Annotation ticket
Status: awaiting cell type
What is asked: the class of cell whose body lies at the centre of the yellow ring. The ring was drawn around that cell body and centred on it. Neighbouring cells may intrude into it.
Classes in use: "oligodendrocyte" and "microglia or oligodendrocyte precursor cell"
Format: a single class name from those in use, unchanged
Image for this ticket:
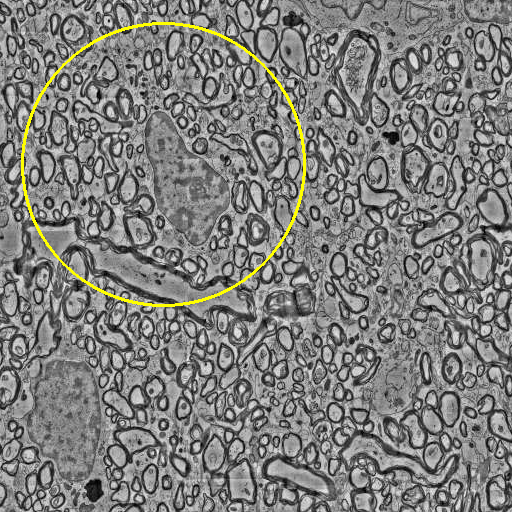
microglia or oligodendrocyte precursor cell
